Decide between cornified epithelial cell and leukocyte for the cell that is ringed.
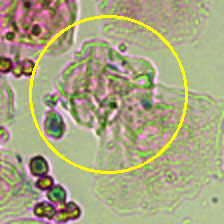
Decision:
I take the ringed cell for a cornified epithelial cell.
